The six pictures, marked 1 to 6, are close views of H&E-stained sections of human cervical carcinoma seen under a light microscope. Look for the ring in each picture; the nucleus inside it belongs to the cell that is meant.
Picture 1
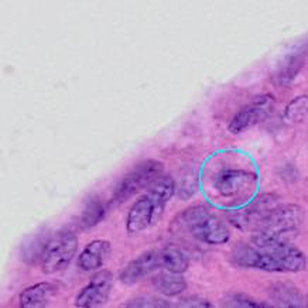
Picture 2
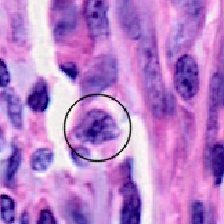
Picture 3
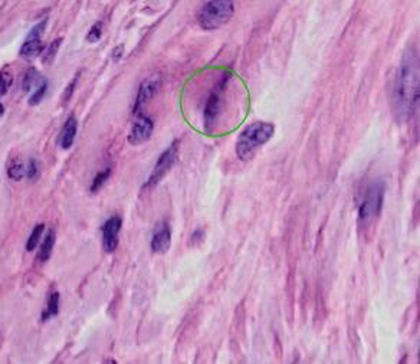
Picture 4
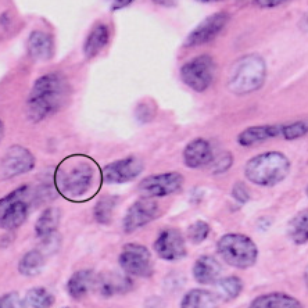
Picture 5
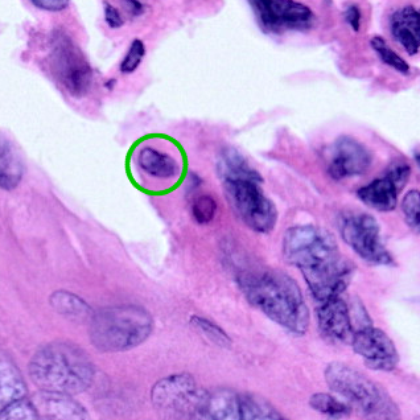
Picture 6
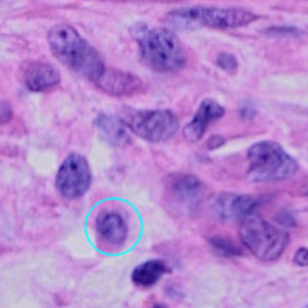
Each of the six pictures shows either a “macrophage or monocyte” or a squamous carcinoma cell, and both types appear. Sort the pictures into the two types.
1: squamous carcinoma cell
2: macrophage or monocyte
3: macrophage or monocyte
4: squamous carcinoma cell
5: squamous carcinoma cell
6: macrophage or monocyte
